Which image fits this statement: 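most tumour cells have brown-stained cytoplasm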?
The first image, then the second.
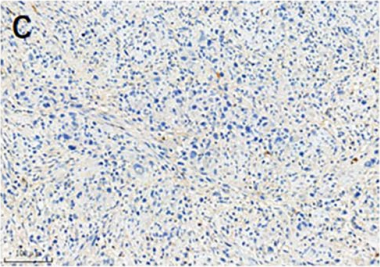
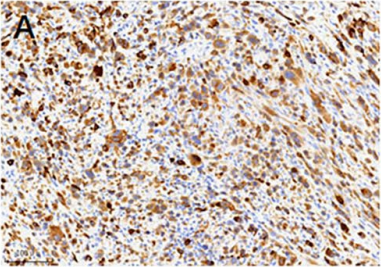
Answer: the second image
